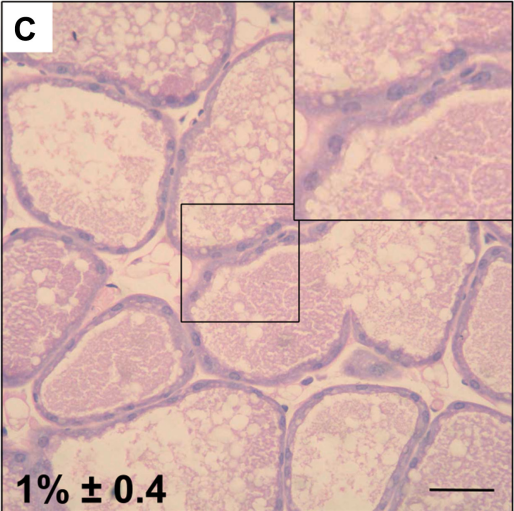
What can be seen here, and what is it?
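Mammary alveoli are seen, each lined by a single thin layer of flattened epithelial cells with small, dark purple nuclei. The alveolar lumens are wide and filled with pale pink, finely granular material dotted with many small clear vacuoles, which look like milk secretion with lipid droplets. Between neighbouring alveoli lies only a scant strip of connective tissue with a few elongated nuclei. The lining is smooth and continuous, and no loose or rounded cells float in the lumens. The picture is that of distended, secreting alveoli with an attenuated epithelium.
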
